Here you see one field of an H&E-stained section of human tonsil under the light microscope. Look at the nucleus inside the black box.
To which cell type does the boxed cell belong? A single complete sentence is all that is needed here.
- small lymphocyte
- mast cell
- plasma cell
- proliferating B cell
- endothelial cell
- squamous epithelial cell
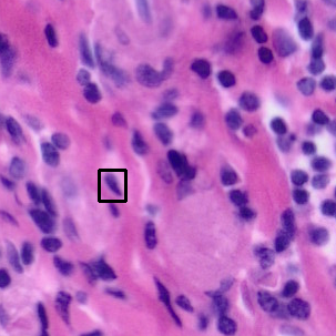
Cell type answer for this item: the boxed cell is a mast cell.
